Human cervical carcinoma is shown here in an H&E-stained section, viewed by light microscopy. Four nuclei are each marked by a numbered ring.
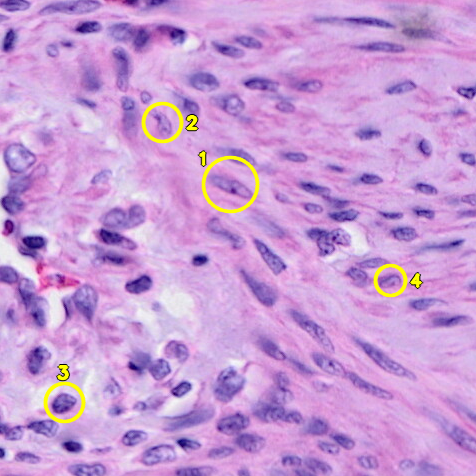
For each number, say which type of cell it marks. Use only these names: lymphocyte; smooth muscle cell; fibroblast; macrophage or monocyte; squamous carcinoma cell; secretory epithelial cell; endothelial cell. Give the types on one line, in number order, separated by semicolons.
smooth muscle cell; smooth muscle cell; lymphocyte; smooth muscle cell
